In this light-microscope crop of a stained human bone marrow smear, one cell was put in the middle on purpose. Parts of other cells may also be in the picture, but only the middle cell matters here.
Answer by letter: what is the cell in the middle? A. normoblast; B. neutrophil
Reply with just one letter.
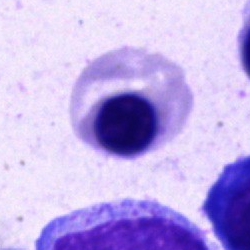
A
